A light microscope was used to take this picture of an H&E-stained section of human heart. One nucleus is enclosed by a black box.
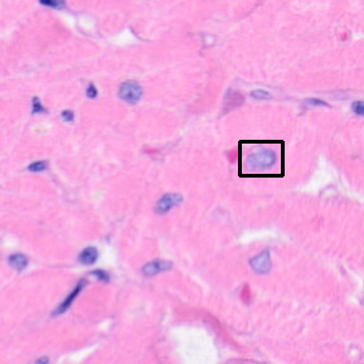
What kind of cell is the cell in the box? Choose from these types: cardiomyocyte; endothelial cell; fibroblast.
cardiomyocyte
